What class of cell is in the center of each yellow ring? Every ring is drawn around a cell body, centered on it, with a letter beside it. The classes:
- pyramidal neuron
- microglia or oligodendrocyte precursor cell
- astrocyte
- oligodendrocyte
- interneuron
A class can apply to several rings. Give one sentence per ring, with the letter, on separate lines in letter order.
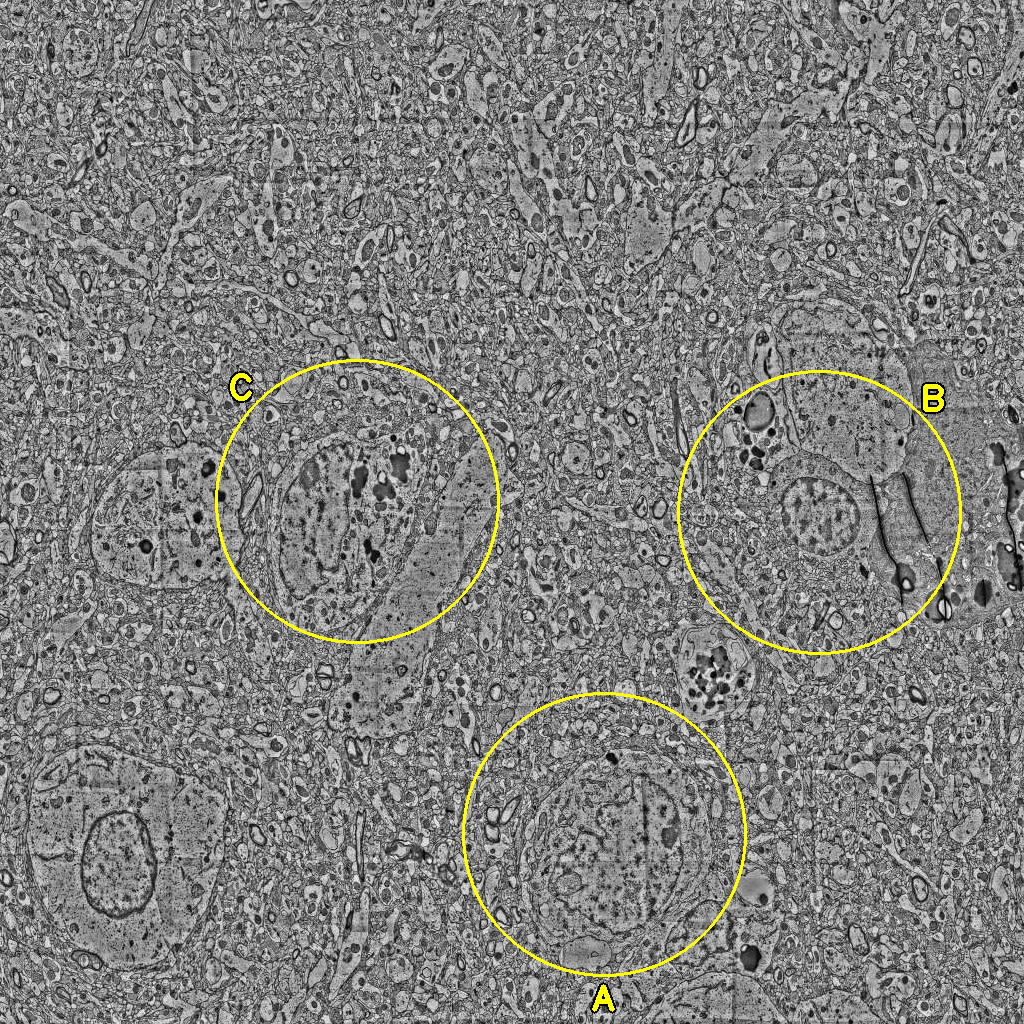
Ring A holds an interneuron at its center.
Ring B holds an oligodendrocyte at its center.
Ring C holds an interneuron at its center.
